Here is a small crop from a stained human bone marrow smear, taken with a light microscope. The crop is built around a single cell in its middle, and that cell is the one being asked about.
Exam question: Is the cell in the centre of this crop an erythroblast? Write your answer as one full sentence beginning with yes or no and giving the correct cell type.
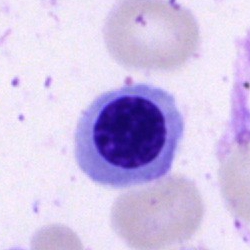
Yes, placed in the middle of the crop is an erythroblast.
